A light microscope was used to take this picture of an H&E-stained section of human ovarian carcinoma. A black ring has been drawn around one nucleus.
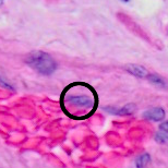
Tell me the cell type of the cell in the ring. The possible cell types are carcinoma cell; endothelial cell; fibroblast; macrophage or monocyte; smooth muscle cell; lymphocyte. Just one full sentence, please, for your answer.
In this section of tissue, the cell in the ring is an endothelial cell.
